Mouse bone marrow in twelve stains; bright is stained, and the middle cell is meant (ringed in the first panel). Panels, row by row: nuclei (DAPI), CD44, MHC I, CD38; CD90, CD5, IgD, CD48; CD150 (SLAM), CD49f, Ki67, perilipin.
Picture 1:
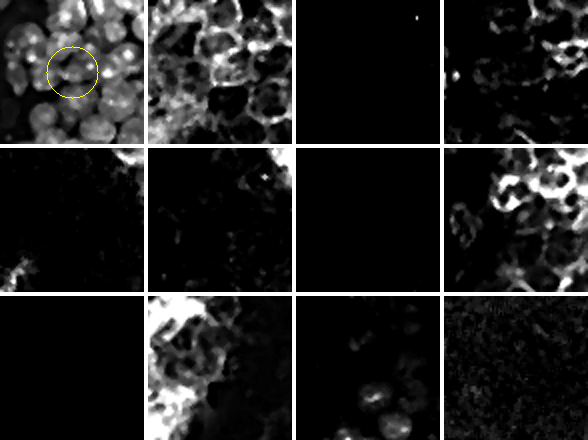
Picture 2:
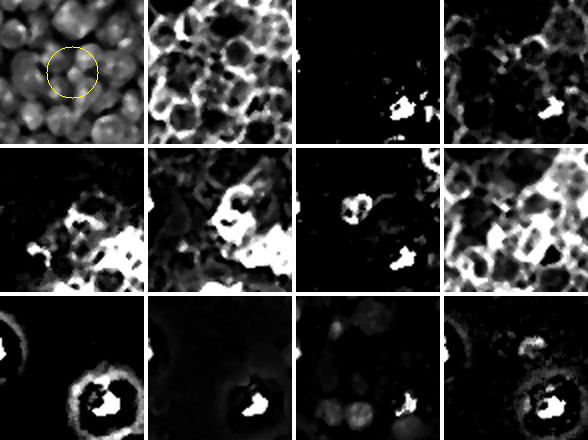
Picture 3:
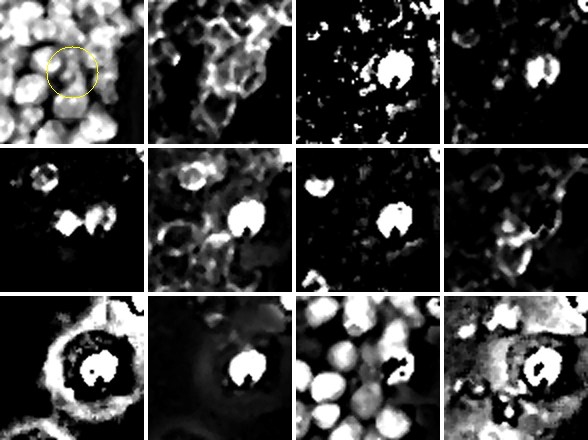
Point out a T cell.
That is picture 2.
